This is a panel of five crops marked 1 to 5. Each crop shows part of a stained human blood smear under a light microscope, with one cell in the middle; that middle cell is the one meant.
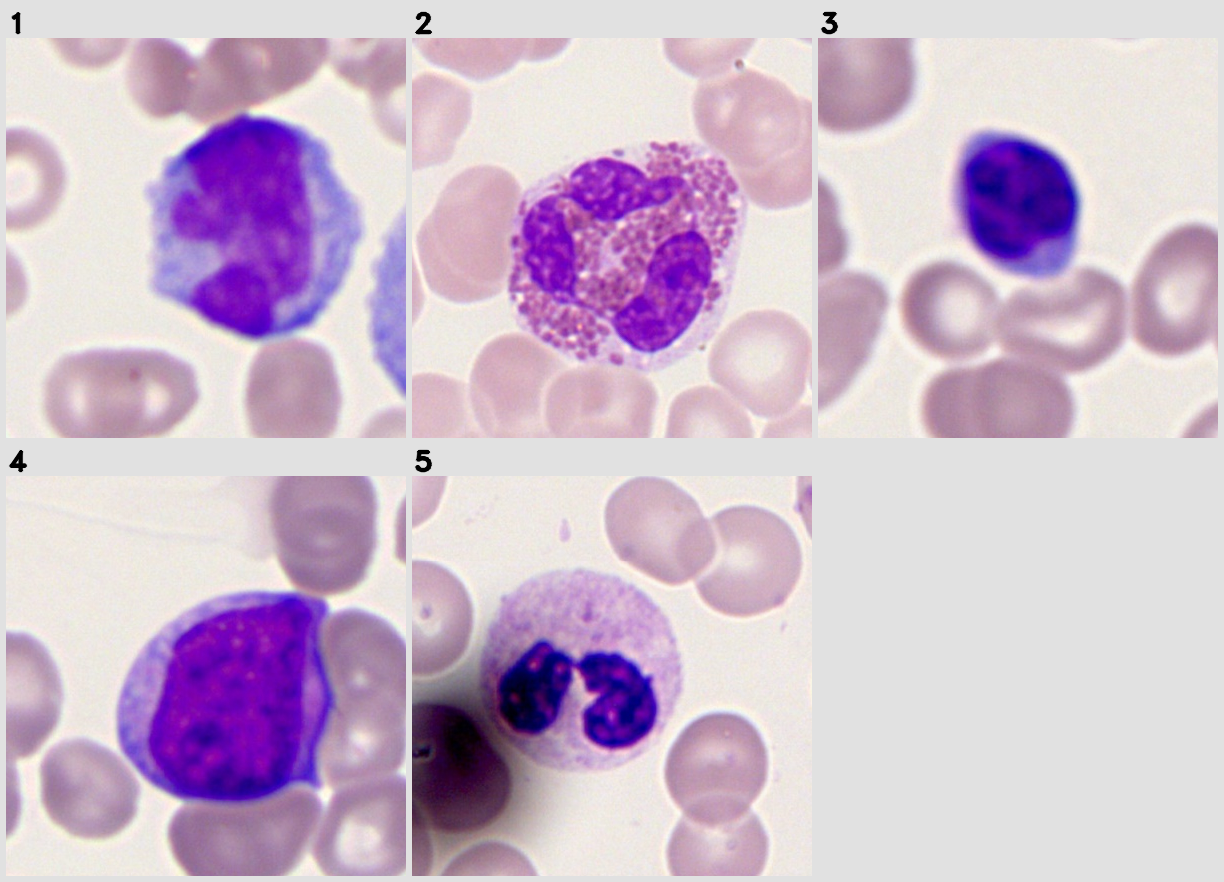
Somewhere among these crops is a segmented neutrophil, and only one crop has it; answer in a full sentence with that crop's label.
Crop 5 is the crop that displays a segmented neutrophil.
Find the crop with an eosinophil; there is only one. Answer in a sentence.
That would be crop 2; it shows an eosinophil.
